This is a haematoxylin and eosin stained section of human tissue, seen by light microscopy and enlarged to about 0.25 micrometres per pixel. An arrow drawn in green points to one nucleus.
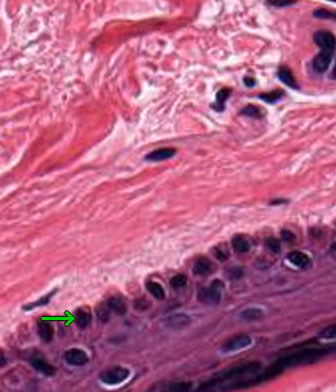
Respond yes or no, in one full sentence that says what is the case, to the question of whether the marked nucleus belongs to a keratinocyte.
Yes, the marked nucleus is the nucleus belonging to a keratinocyte.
